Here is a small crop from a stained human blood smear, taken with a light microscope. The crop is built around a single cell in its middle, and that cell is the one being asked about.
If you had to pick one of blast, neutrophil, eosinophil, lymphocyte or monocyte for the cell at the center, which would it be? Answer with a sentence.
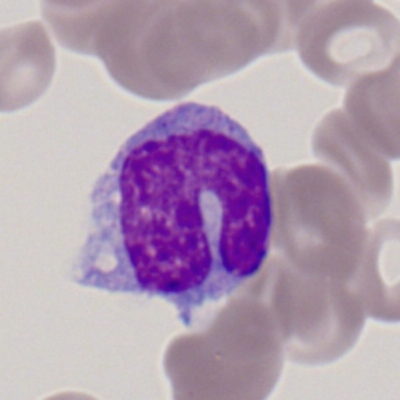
In the centre of this crop there is a monocyte.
